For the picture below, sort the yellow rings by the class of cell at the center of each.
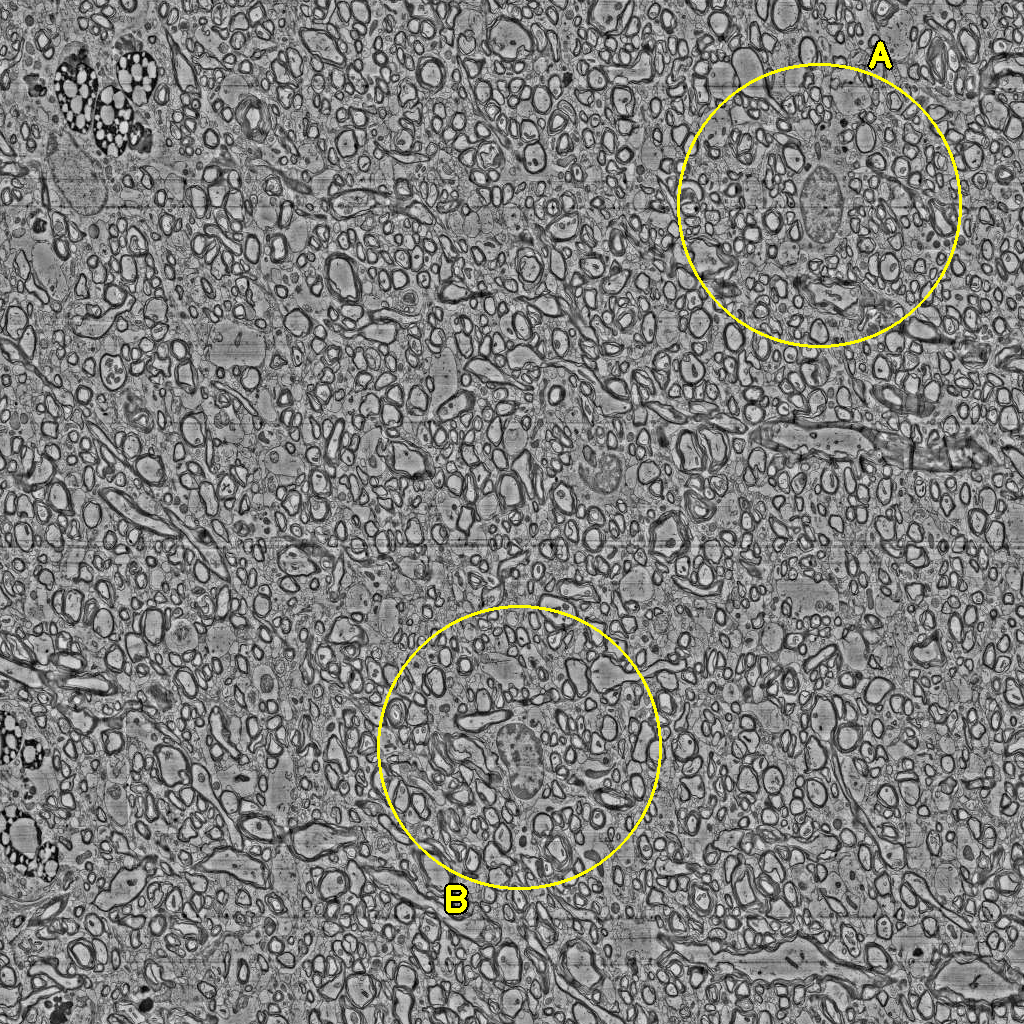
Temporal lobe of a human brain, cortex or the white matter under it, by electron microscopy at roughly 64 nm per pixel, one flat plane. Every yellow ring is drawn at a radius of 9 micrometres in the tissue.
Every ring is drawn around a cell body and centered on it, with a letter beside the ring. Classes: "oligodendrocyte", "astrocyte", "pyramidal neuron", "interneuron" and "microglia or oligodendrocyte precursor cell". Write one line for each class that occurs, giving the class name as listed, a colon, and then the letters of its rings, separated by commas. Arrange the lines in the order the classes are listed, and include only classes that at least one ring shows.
oligodendrocyte: A
microglia or oligodendrocyte precursor cell: B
